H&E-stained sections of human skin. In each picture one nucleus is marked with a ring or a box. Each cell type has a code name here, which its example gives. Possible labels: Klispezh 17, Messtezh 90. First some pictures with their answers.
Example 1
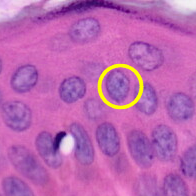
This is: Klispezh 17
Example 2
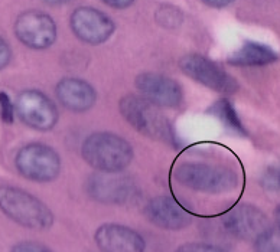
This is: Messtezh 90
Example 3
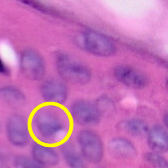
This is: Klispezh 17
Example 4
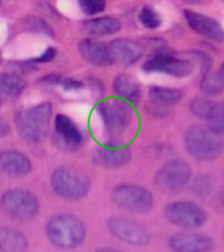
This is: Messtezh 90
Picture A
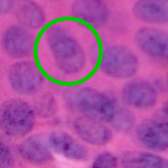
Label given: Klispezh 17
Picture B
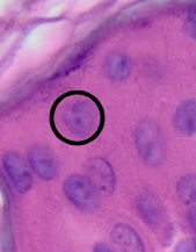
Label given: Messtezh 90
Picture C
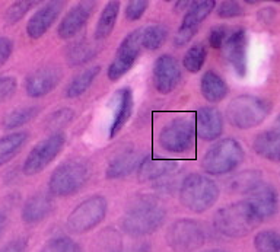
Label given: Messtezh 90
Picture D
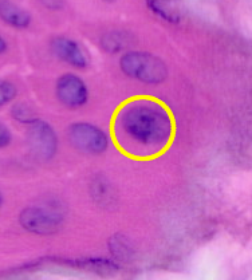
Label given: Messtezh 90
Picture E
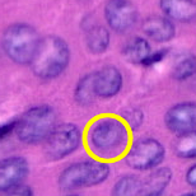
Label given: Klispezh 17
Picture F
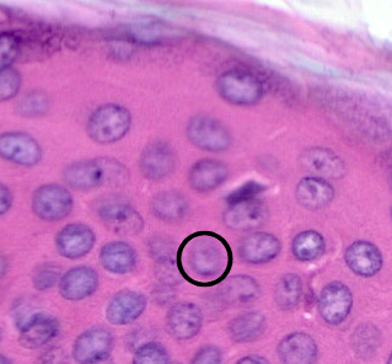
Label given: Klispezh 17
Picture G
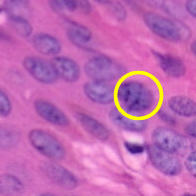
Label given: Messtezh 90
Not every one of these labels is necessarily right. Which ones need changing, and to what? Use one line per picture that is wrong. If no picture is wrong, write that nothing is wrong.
B: change Messtezh 90 to Klispezh 17
D: change Messtezh 90 to Klispezh 17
